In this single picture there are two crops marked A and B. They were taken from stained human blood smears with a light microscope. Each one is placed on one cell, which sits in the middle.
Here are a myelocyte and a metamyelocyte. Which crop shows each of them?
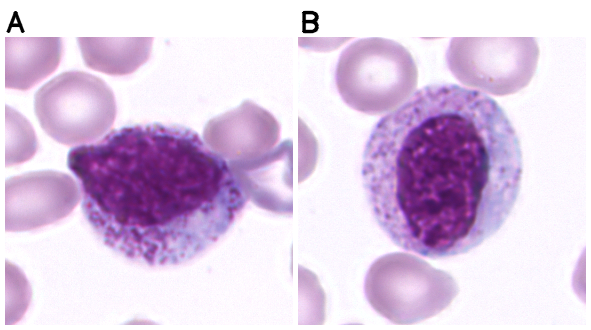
A: myelocyte
B: metamyelocyte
